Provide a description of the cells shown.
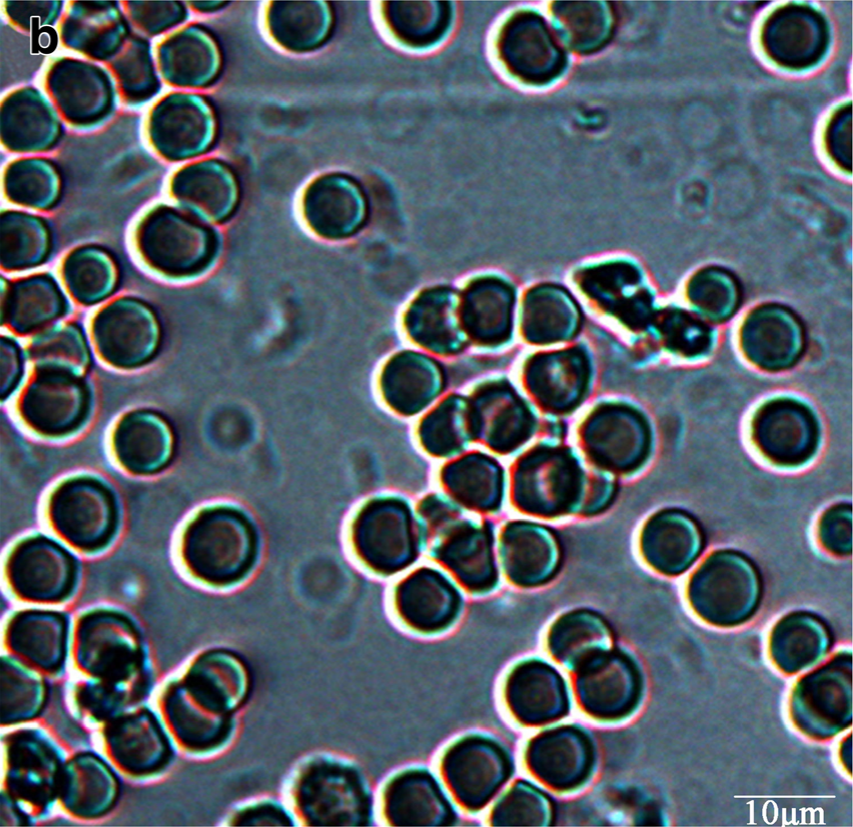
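These are erythrocyte ghosts seen in bright field: many small, round cells of nearly the same size, each only a few micrometres across, judging by the scale bar. None of them shows a nucleus; each appears as a dark, smooth disc with a bright halo at its edge, and some show a faint paler centre. Some lie alone on the clear background, while others crowd into loose clusters and rings, touching or overlapping their neighbours, so their outlines flatten where they meet. A few cells at the clusters look crumpled or irregular. Faint, pale round shapes in the background are out of focus.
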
